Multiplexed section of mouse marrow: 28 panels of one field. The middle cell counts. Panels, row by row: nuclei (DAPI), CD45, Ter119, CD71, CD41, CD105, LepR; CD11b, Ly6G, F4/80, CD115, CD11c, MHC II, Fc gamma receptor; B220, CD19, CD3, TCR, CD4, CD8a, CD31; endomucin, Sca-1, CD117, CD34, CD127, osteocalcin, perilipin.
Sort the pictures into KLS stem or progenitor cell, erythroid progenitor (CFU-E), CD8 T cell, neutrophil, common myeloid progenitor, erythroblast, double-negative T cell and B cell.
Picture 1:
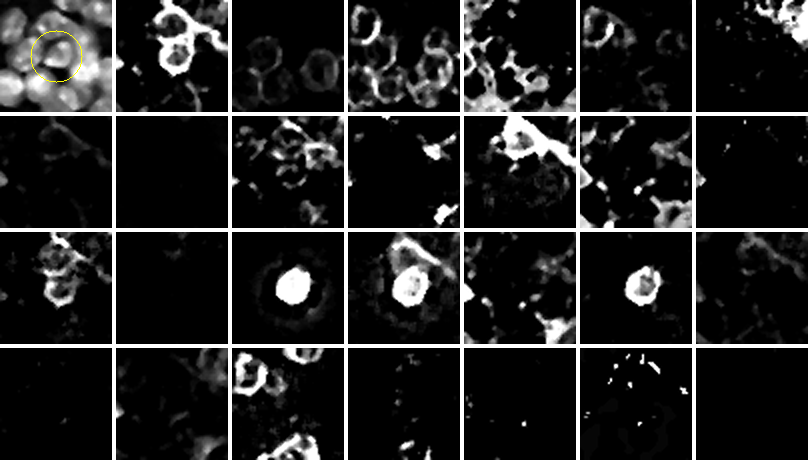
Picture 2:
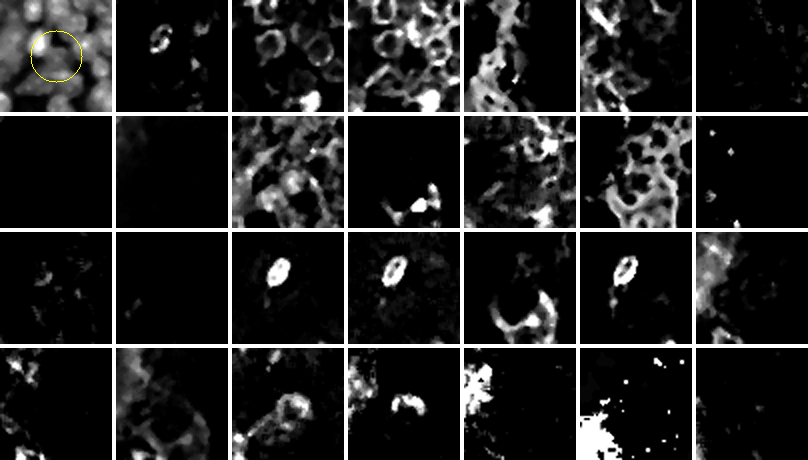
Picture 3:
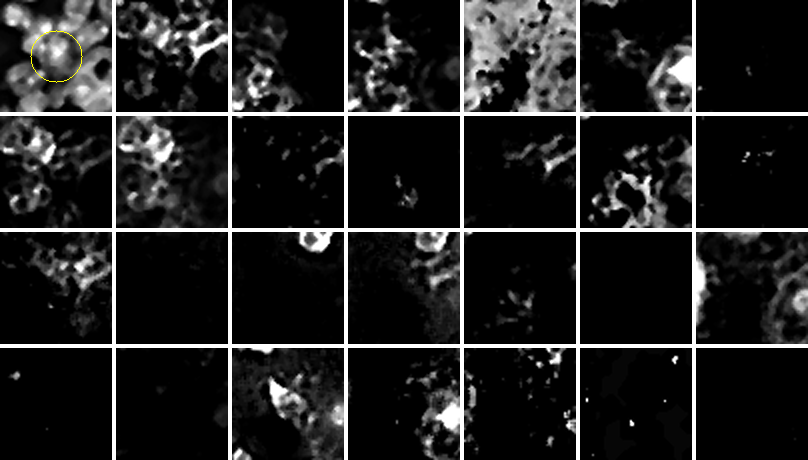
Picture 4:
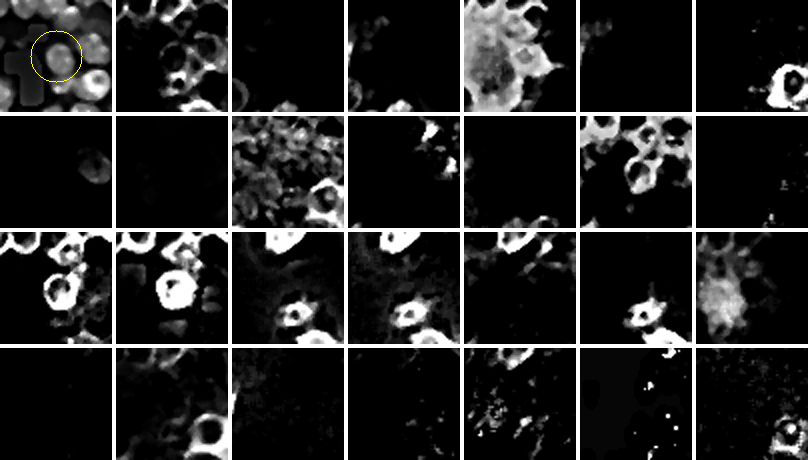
CD8 T cells: 1
Common myeloid progenitors: 2
Erythroid progenitors (CFU-E): 3
B cells: 4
